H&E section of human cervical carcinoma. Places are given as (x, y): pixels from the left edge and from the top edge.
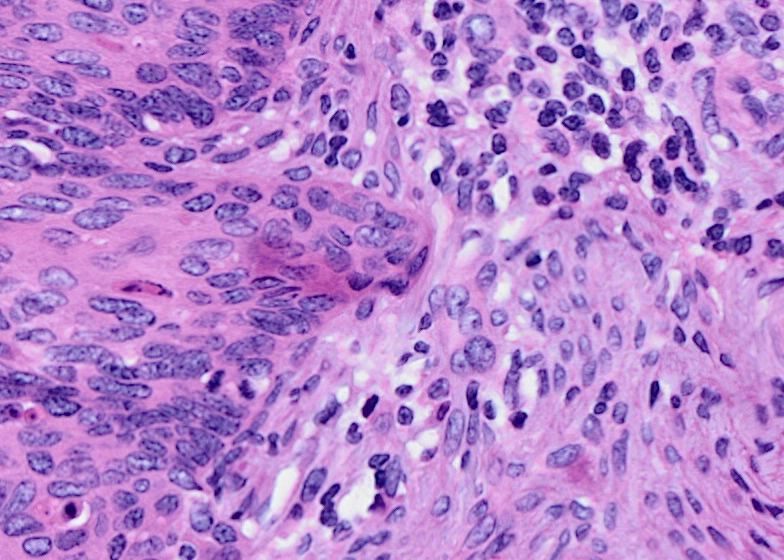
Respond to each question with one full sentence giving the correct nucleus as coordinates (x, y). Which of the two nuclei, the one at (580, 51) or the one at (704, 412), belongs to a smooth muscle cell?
That would be the nucleus at (704, 412); it belongs to a smooth muscle cell.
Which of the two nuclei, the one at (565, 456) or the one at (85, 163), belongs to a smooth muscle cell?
So, of the two, the nucleus at (565, 456) is the one belonging to a smooth muscle cell.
